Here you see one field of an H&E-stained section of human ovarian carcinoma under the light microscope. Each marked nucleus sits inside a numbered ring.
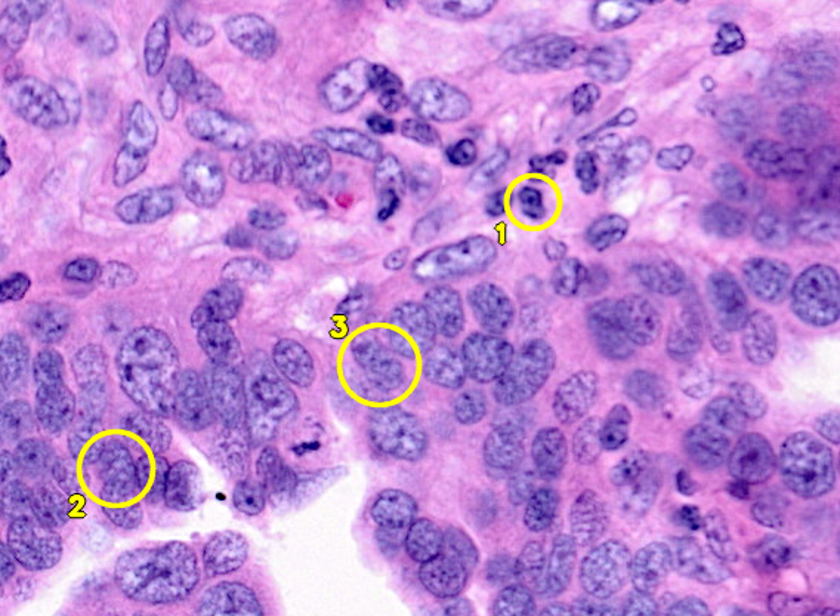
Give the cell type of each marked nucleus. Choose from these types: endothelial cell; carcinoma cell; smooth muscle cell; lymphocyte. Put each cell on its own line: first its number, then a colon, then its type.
1: lymphocyte
2: carcinoma cell
3: carcinoma cell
